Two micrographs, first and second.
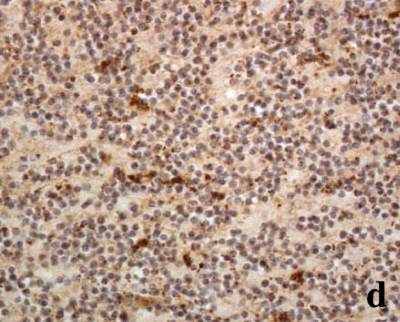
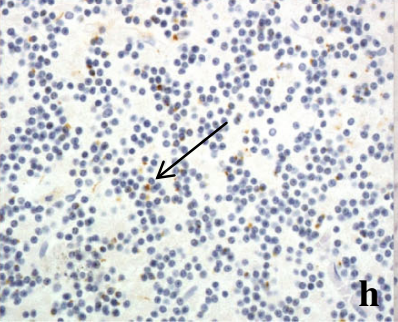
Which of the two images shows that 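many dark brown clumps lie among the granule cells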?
the first image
